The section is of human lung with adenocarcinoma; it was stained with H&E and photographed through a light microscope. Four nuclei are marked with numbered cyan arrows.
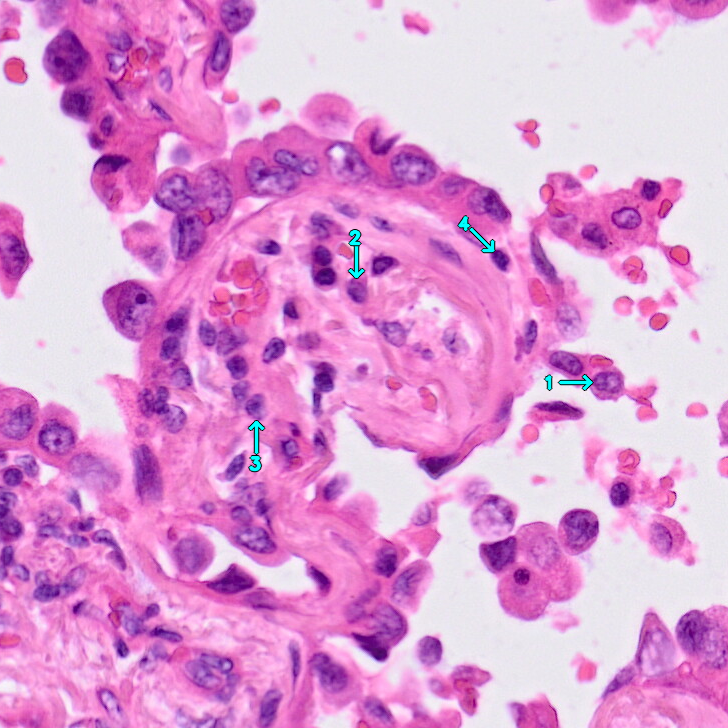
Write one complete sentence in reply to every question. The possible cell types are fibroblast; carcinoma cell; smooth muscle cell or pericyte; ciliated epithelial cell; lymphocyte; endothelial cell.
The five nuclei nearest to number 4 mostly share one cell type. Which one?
Fibroblasts account for more than half of the five nuclei nearest to number 4.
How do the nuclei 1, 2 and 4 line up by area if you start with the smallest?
The order from the smallest nucleus to the largest is 4, 2, 1.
